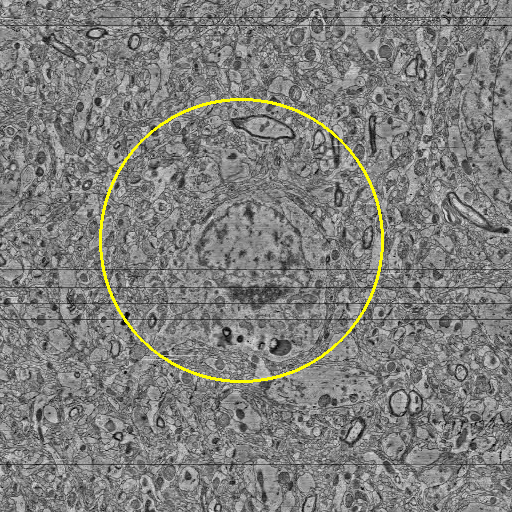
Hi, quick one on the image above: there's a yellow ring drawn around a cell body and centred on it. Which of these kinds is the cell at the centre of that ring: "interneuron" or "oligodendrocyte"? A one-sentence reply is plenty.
The cell at the centre of the ring is an interneuron.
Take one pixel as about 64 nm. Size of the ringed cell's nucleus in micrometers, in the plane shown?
In this plane the nucleus is about 7 micrometres by 6.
